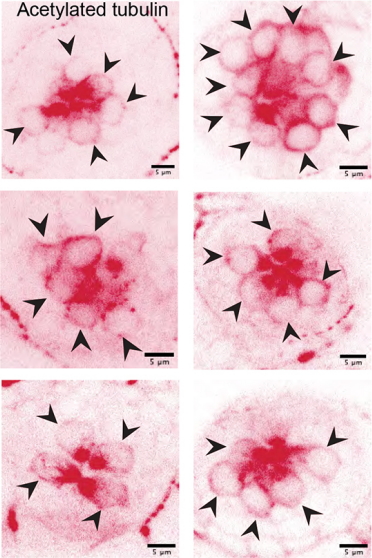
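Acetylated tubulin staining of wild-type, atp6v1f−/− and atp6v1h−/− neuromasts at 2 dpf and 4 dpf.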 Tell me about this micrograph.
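The centre of each rosette holds a dense, intensely red cluster where the cells converge. Some rosettes contain clearly more hair cells than others, ringing the centre more completely. Faint red lines at the edges of several images mark surrounding structures outside the organ.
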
